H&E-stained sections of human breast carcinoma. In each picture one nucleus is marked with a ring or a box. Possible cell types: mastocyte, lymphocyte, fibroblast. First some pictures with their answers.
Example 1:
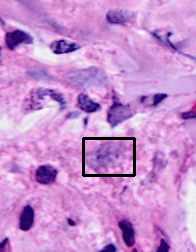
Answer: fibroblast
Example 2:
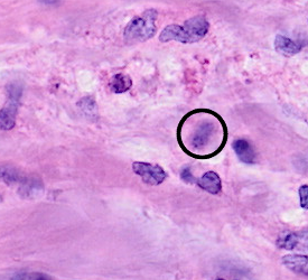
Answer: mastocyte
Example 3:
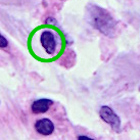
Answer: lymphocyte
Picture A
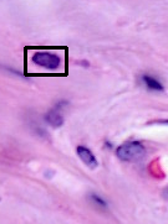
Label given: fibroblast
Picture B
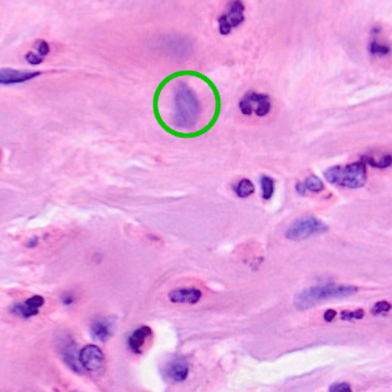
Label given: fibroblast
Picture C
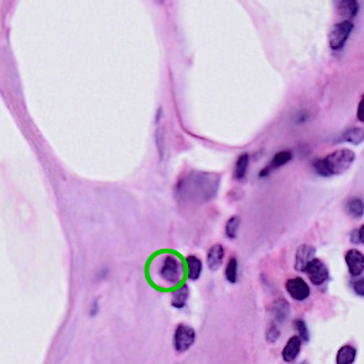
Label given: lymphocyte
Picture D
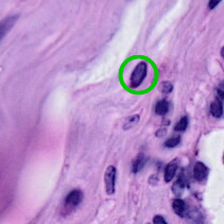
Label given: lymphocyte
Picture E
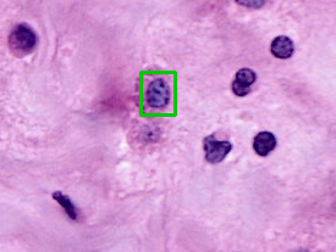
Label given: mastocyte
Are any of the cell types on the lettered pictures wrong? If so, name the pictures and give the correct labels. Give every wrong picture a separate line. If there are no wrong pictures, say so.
A is labelled fibroblast; correct label: lymphocyte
